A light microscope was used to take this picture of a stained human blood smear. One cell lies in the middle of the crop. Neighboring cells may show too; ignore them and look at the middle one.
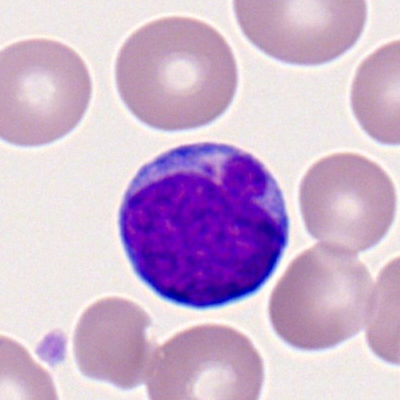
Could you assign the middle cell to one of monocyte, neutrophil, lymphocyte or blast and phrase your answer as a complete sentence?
The cell at the centre of the field is a blast.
